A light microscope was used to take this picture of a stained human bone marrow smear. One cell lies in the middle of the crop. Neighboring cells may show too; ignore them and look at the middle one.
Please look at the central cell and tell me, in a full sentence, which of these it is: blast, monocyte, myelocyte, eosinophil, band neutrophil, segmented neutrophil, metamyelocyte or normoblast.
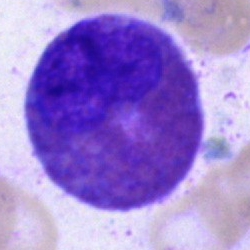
The cell in the exact centre of the crop is an eosinophil.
